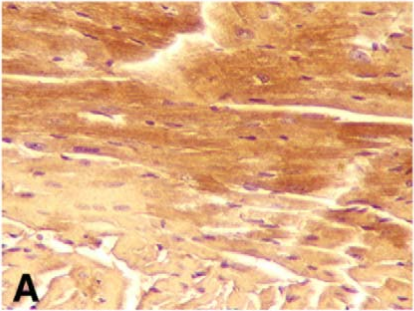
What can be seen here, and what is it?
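This is myocardium, with long cardiac muscle fibres running side by side across the field and elongated purple nuclei lying within them. Many of the fibres carry a patchy, dark brown stain, while others are paler tan, so the brown forms broad streaks along the fibre bundles.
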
